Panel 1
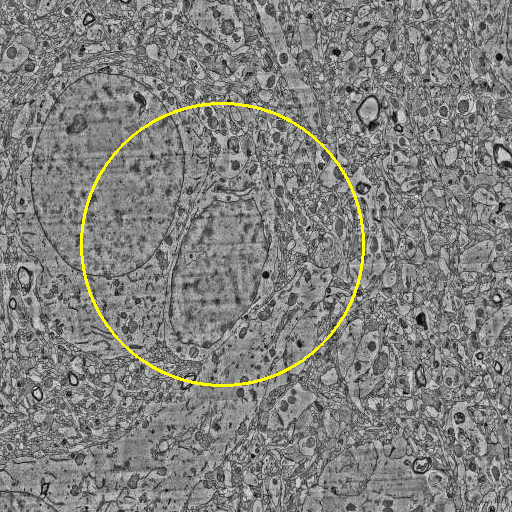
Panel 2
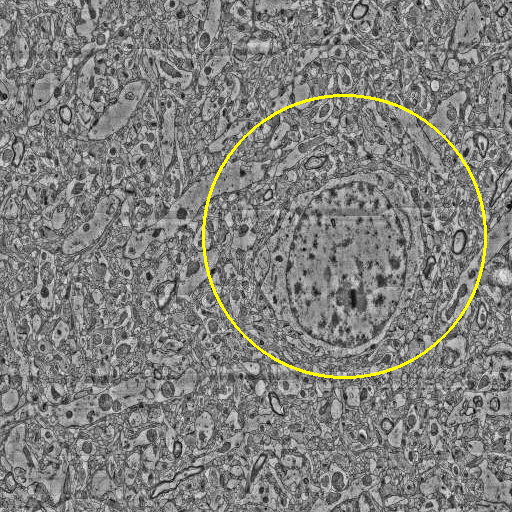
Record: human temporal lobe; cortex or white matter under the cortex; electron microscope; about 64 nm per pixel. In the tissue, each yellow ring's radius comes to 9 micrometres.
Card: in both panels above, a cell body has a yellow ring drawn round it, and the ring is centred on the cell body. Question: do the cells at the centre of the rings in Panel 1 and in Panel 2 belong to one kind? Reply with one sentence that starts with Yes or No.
Yes, the cells centred in the rings of Panel 1 and Panel 2 are one kind of cell.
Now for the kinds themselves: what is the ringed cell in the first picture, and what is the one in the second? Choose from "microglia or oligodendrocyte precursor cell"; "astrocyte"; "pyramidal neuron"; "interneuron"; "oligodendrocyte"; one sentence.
Each of the two rings surrounds an interneuron.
